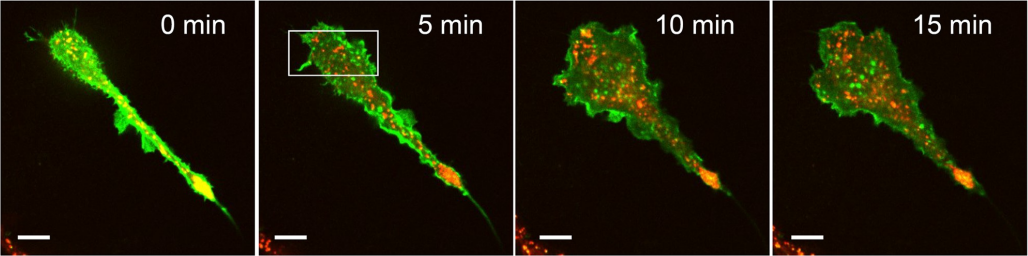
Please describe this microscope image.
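At first the cell is elongated, with a narrow trailing tail and a small head. Over the following frames the head spreads into a broad, flat, ruffled sheet edged by a bright green rim. Red granules are scattered through the cytoplasm of the body and tail, while the thin outer margin of the spreading front holds few of them.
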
